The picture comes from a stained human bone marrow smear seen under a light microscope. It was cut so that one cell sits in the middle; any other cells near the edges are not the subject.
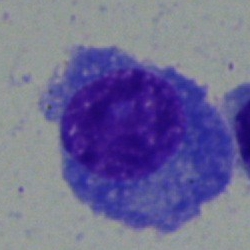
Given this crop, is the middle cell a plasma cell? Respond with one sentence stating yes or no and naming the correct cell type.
Yes, the cell at the middle of the frame is a plasma cell.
